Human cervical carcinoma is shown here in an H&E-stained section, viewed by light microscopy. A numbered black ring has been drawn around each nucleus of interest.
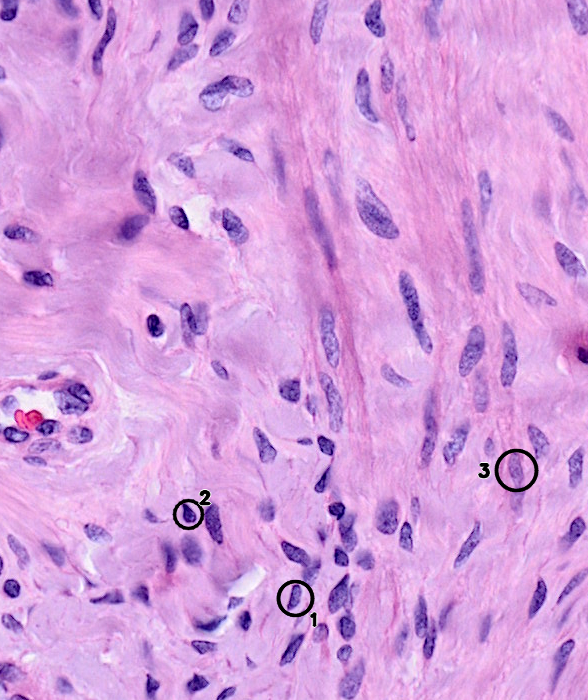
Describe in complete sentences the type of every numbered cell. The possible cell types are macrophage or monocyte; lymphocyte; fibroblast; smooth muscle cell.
Cell 1 is a fibroblast, cell 2 is a fibroblast and cell 3 is a smooth muscle cell.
